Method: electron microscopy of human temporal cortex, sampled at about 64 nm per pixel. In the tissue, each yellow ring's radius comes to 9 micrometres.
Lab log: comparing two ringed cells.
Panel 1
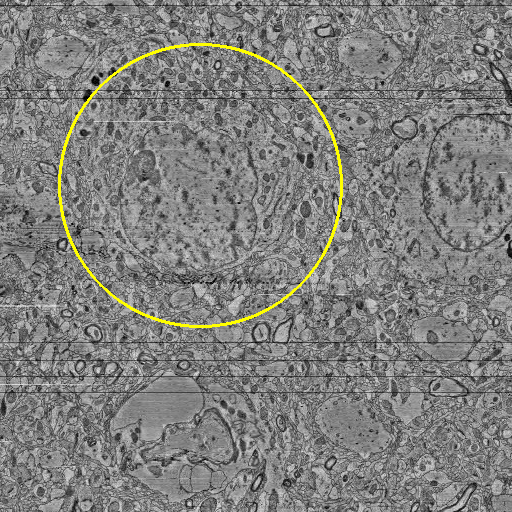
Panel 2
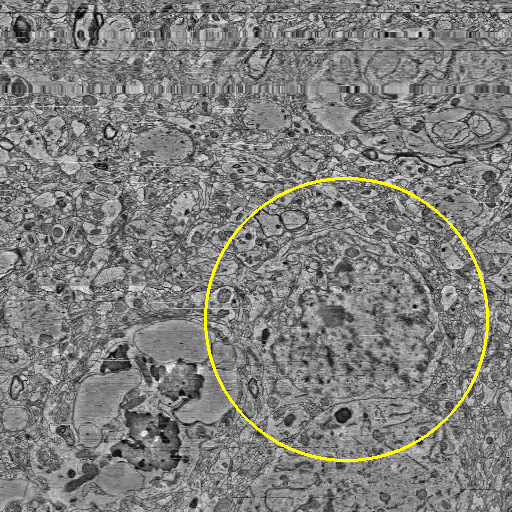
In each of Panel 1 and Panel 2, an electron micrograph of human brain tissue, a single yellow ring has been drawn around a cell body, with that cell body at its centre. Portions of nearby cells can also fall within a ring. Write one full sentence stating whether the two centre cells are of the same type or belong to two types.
The cells at the ring centres in Panel 1 and Panel 2 are of the same type.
